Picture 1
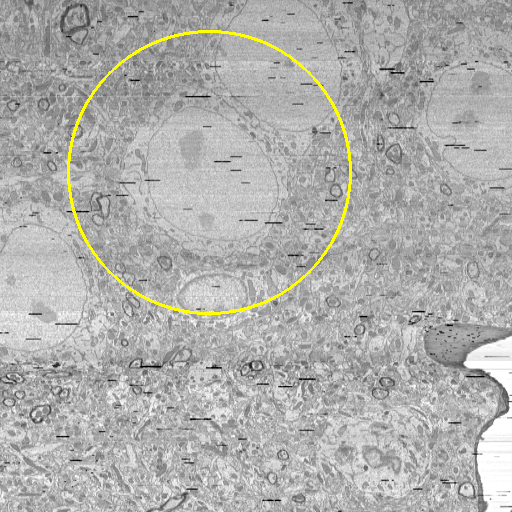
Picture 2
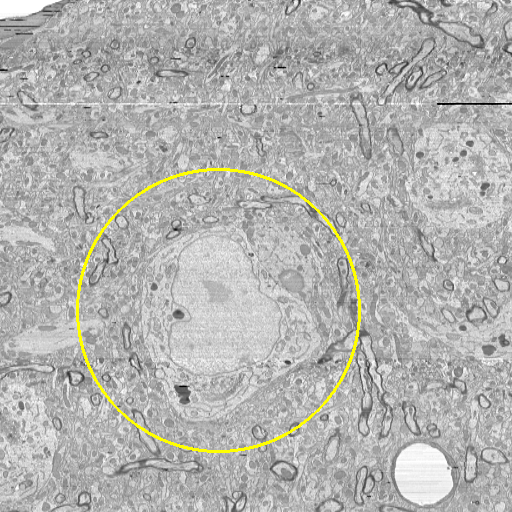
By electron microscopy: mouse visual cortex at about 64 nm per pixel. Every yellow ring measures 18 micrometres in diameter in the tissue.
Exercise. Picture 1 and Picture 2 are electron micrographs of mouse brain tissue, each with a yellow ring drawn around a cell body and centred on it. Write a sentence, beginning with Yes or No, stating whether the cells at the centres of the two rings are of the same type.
No, the cells at the centres of the rings are of two types.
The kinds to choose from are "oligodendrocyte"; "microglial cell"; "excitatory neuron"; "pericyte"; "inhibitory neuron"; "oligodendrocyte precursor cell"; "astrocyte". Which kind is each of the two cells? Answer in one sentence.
Of the two, the first cell is an excitatory neuron and the second cell is an inhibitory neuron.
